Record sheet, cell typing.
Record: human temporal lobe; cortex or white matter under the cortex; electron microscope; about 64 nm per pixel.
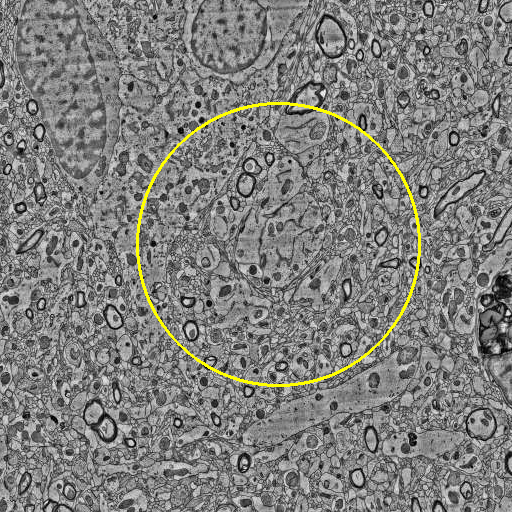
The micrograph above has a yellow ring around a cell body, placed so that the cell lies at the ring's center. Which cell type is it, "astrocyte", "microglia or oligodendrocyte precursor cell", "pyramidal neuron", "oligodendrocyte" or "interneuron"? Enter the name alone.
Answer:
pyramidal neuron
